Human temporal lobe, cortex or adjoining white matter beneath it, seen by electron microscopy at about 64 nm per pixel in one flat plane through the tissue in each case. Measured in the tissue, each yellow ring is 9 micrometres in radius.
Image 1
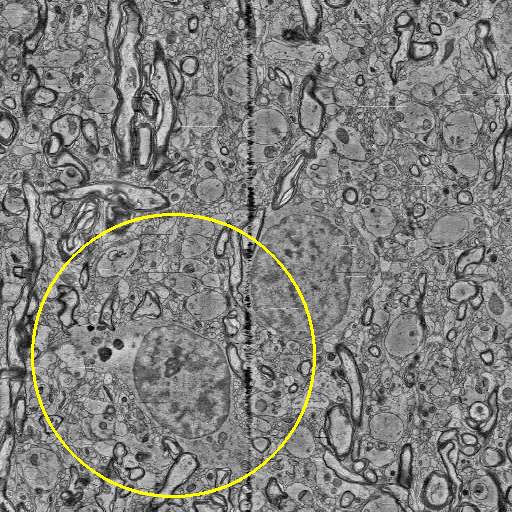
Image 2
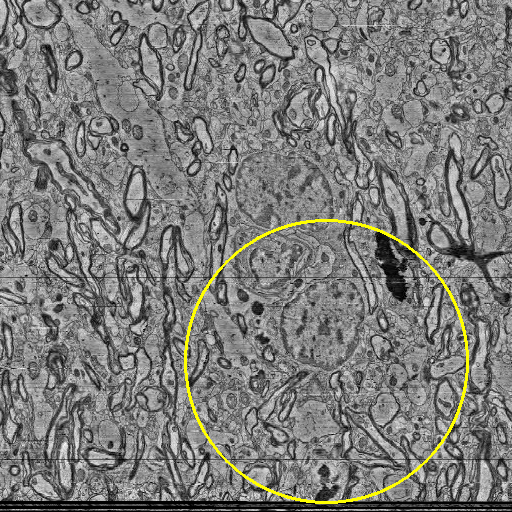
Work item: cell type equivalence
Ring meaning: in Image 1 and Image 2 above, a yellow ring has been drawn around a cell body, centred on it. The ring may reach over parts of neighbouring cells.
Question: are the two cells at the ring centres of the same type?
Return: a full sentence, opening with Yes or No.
Yes, the two centred cells are of the same type.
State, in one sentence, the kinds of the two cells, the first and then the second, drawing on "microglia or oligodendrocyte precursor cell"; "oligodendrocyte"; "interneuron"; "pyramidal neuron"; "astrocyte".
Each of the two rings surrounds an oligodendrocyte.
